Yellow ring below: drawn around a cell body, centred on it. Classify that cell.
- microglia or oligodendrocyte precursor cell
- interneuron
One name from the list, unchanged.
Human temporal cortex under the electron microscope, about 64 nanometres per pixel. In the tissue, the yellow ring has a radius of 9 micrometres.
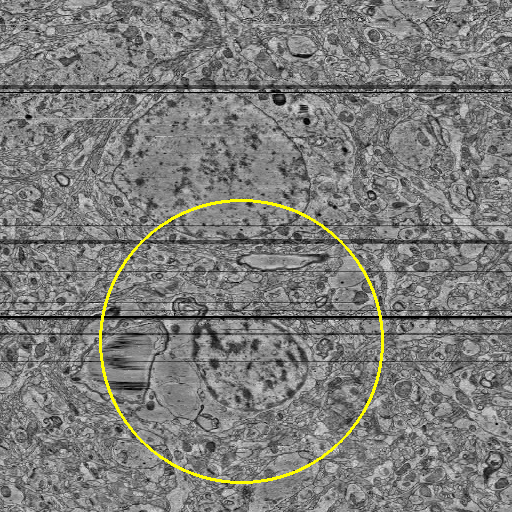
microglia or oligodendrocyte precursor cell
